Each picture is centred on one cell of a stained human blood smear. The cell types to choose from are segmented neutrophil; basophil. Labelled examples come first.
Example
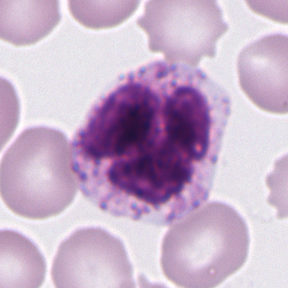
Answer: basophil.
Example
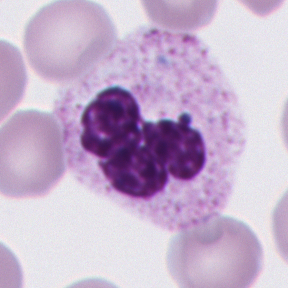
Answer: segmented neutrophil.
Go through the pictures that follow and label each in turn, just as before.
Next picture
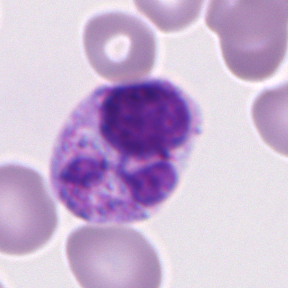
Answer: basophil.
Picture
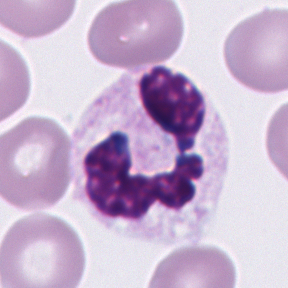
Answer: segmented neutrophil.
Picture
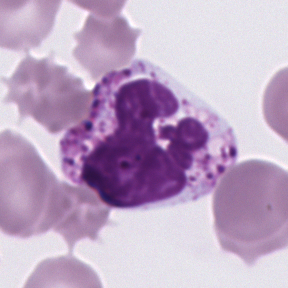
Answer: basophil.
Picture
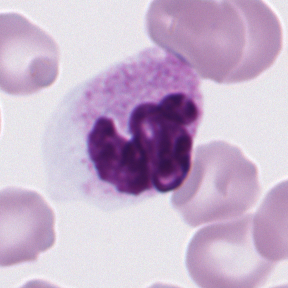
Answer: segmented neutrophil.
